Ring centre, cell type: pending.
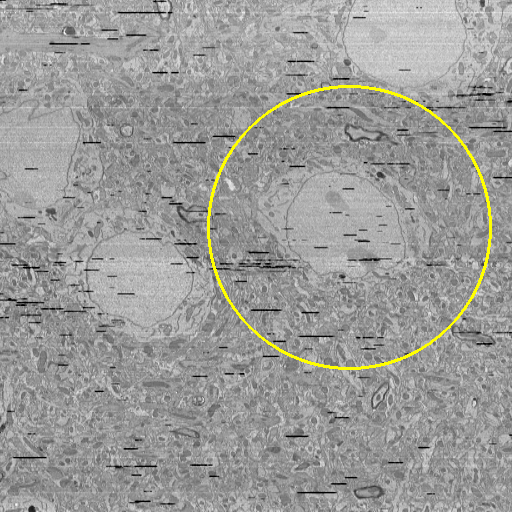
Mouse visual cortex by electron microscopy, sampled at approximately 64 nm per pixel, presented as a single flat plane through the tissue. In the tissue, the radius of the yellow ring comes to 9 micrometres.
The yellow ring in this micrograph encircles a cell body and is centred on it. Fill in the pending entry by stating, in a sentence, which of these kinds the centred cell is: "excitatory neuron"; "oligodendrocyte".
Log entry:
The centred cell is recorded as an excitatory neuron.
